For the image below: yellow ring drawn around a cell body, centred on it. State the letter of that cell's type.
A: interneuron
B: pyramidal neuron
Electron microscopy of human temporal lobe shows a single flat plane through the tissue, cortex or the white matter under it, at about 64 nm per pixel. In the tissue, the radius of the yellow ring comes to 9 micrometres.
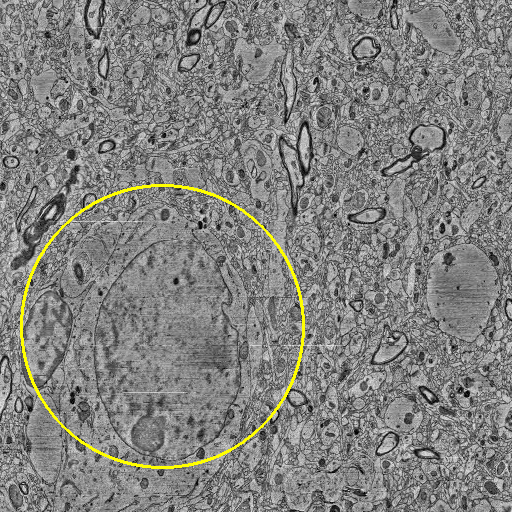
B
